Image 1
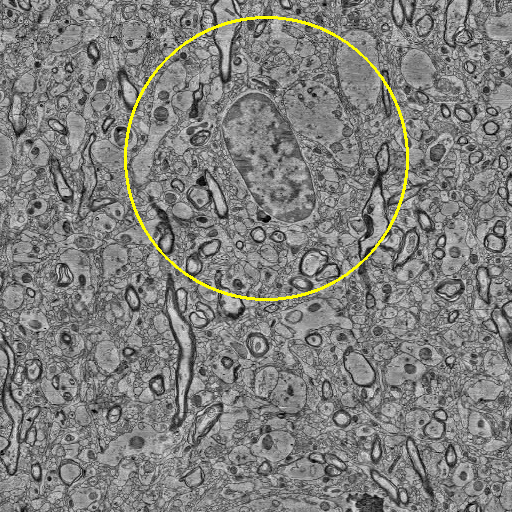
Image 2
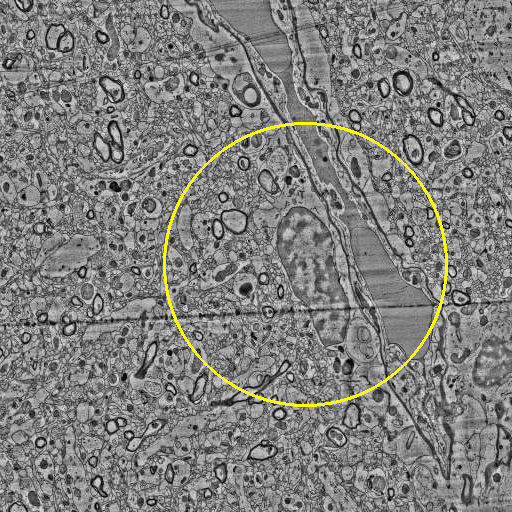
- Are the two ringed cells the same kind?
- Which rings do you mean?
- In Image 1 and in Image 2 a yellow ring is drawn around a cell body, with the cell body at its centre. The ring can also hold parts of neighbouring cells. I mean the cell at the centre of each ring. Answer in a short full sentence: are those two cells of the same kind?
Yes, both cells are of the same kind.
